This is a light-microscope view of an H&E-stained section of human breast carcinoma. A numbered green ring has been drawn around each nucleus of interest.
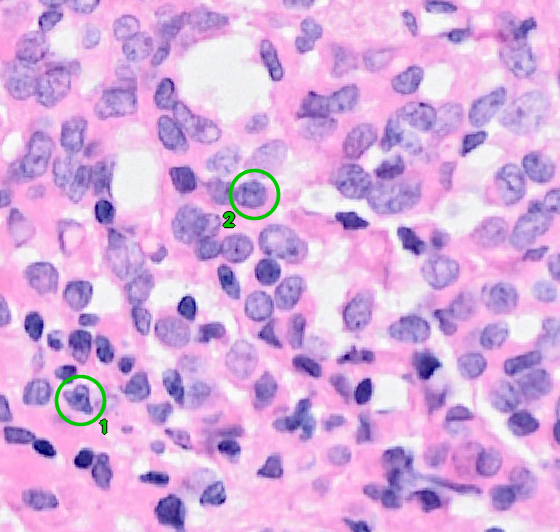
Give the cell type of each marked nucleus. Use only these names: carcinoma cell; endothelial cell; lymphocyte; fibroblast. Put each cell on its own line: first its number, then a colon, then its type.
1: lymphocyte
2: carcinoma cell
